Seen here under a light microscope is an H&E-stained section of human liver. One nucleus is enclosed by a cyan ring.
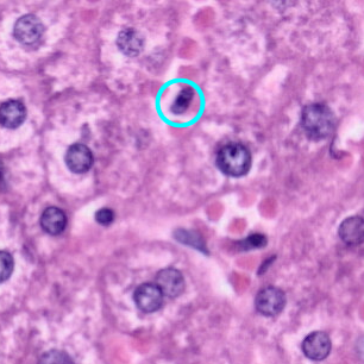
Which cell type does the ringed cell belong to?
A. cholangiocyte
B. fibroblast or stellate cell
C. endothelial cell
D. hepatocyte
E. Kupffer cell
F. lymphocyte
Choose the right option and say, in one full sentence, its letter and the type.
Option F, identifying the ringed cell as a lymphocyte, is correct.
